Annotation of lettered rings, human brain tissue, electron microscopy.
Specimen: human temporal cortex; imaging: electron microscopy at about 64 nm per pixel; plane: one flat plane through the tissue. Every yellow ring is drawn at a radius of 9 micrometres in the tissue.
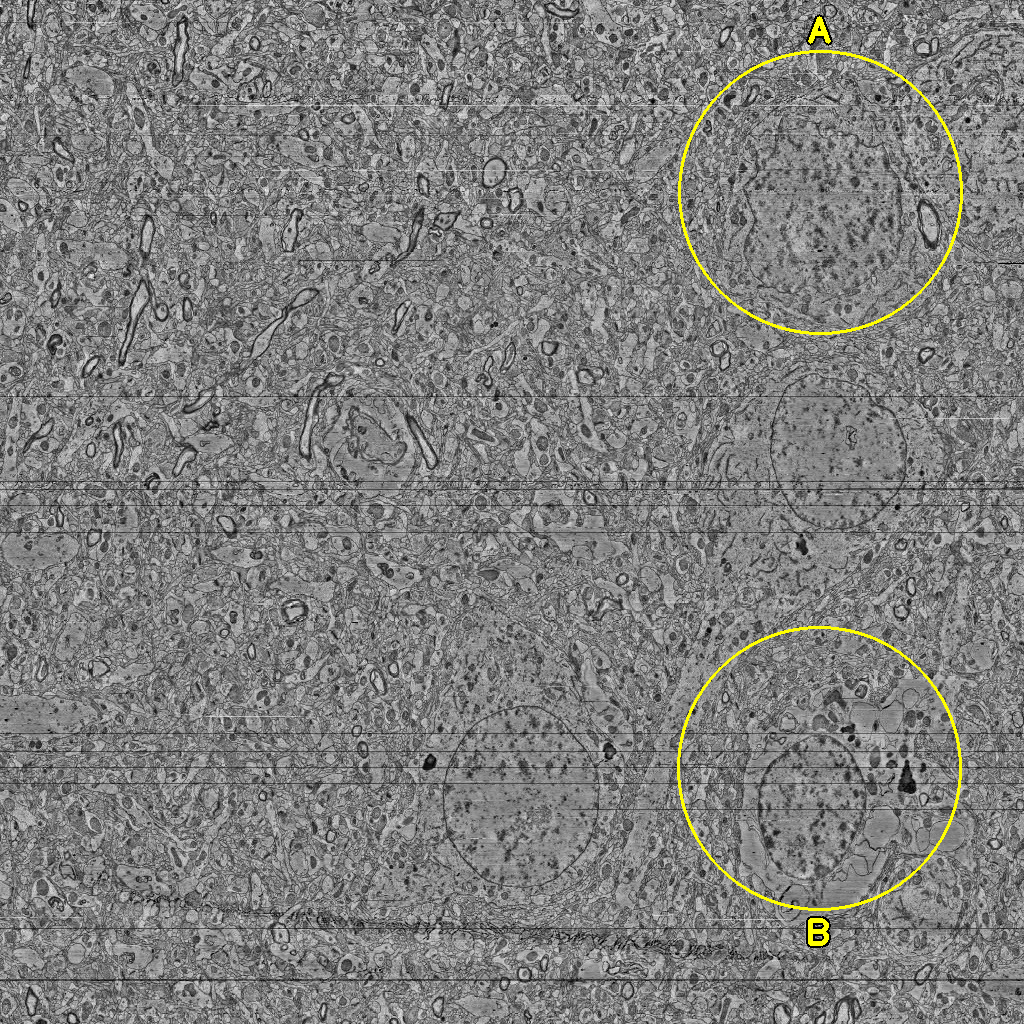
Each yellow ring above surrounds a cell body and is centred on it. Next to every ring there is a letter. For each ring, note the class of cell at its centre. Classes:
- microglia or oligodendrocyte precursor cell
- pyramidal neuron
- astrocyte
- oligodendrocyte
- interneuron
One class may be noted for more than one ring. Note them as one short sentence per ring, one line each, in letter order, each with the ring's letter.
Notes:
The class noted at ring A is an interneuron.
The class noted at ring B is an astrocyte.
